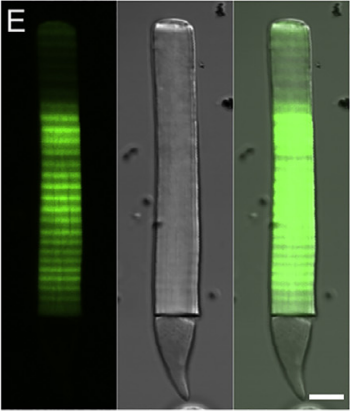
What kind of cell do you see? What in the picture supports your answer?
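A long straight cylindrical outer segment with a flat end. A shorter tapering inner segment below the outer segment. Fine transverse stripes along the outer segment.
Rod photoreceptor.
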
